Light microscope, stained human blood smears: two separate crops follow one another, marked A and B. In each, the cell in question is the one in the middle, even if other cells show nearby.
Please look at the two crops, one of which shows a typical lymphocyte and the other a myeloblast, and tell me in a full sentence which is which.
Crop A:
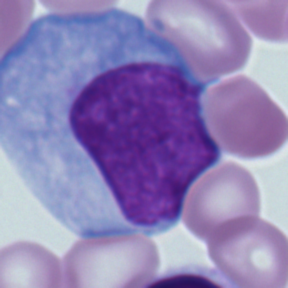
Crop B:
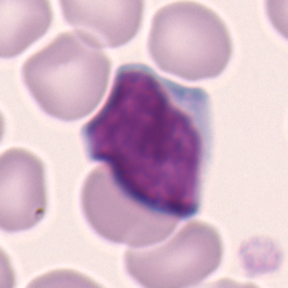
Crop A is recognised as a myeloblast, crop B as a typical lymphocyte.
